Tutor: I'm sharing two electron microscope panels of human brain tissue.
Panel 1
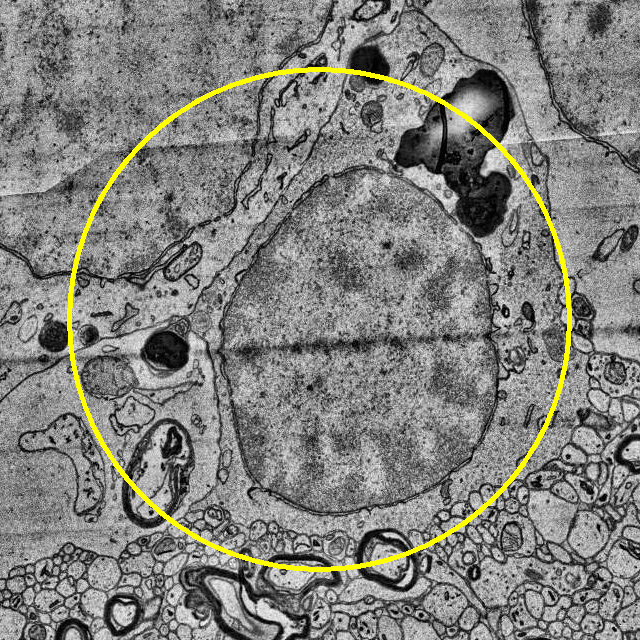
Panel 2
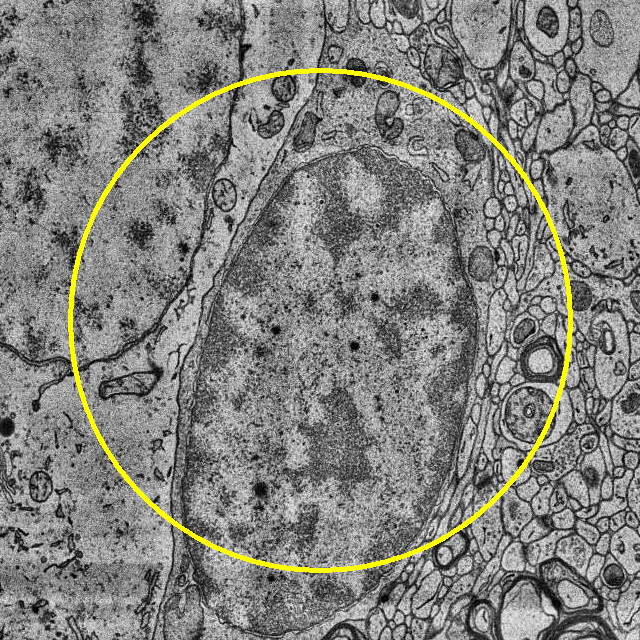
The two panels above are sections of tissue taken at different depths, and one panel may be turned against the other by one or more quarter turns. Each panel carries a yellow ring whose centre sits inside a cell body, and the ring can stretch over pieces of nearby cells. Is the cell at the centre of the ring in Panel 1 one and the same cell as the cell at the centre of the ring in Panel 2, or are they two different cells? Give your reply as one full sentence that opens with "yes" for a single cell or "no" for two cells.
No, the circled cells number two, not one.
